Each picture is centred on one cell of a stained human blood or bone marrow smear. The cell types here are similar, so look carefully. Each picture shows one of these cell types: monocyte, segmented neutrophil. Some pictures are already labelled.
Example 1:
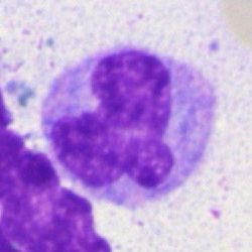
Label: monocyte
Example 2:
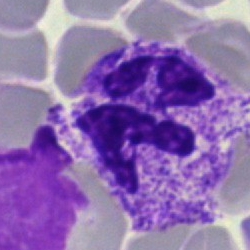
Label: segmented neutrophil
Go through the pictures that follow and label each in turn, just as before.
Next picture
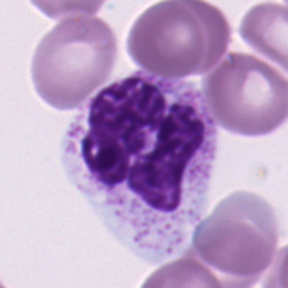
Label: segmented neutrophil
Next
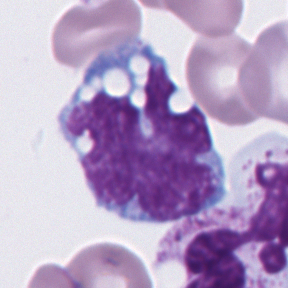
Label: monocyte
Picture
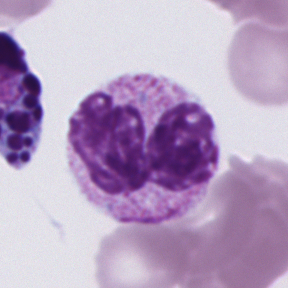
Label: segmented neutrophil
